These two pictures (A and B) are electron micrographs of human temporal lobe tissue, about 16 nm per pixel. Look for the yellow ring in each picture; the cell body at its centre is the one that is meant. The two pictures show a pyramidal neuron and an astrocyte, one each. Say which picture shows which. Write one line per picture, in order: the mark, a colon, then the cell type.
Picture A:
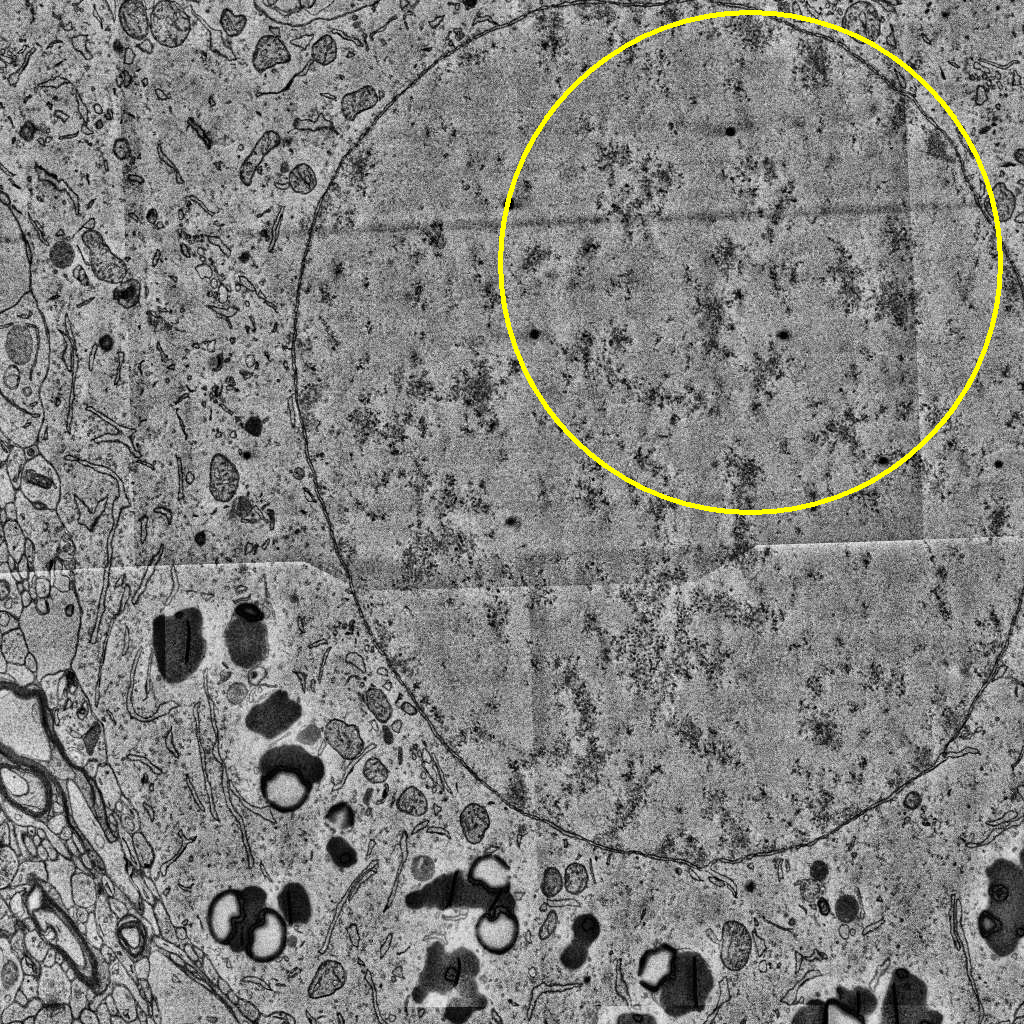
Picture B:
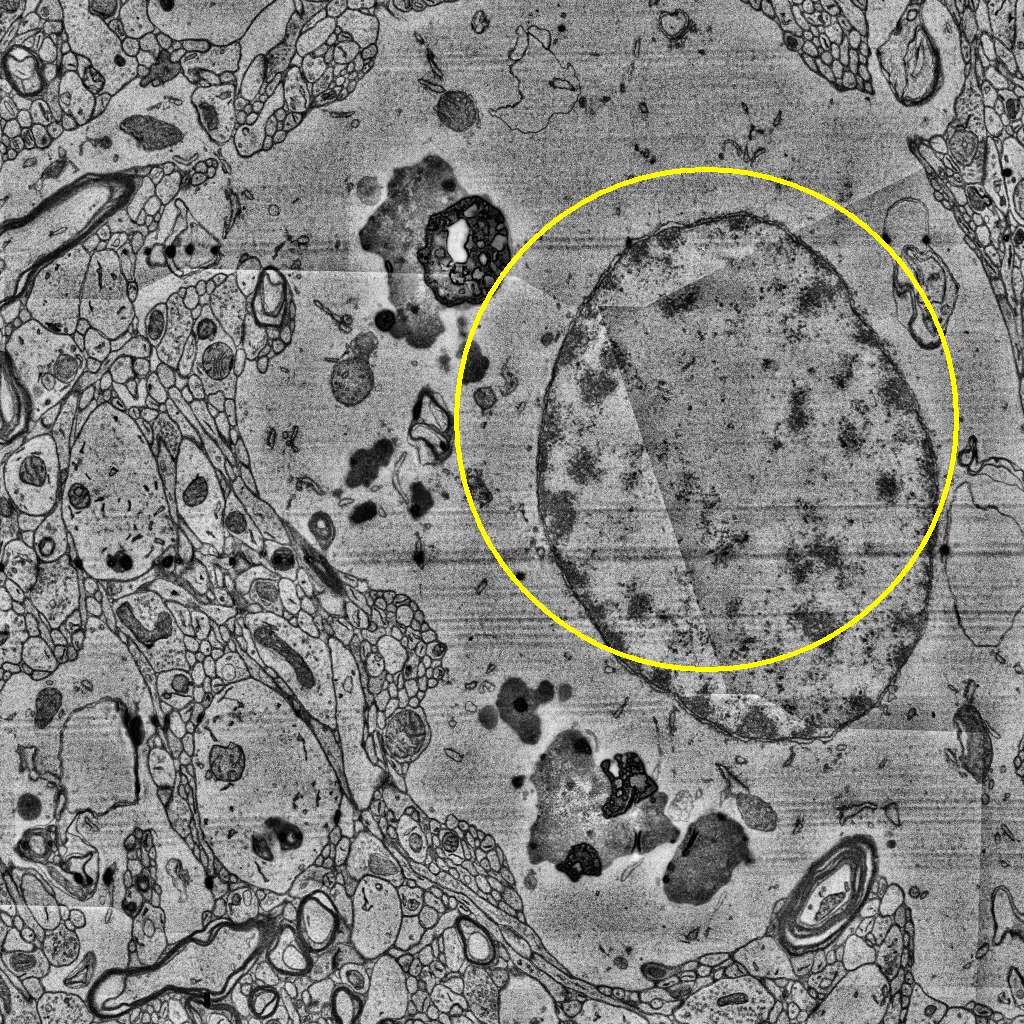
A: pyramidal neuron
B: astrocyte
